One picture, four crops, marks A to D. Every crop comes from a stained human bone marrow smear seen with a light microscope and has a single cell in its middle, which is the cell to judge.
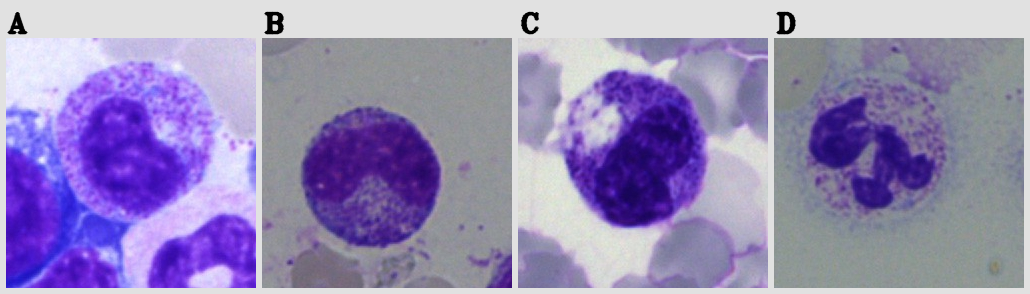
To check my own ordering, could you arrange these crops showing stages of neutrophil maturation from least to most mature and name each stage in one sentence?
In ascending order of maturity, the sequence is crop A (a myelocyte), crop C (a metamyelocyte), crop B (a band neutrophil) and crop D (a segmented neutrophil).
